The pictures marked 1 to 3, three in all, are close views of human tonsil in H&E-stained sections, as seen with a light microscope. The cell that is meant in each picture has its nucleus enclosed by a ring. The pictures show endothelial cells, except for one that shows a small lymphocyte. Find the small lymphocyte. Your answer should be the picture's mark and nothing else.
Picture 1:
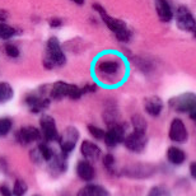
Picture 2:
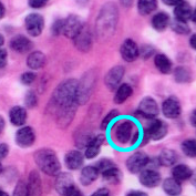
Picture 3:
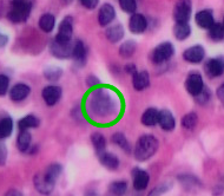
2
